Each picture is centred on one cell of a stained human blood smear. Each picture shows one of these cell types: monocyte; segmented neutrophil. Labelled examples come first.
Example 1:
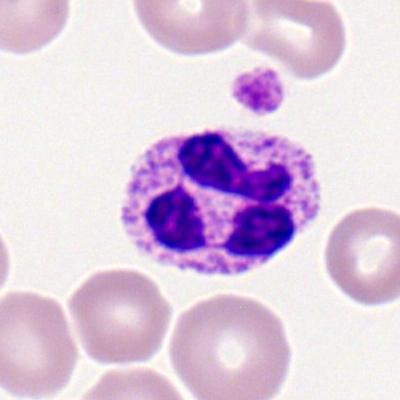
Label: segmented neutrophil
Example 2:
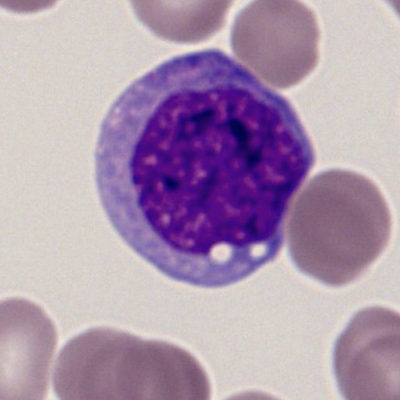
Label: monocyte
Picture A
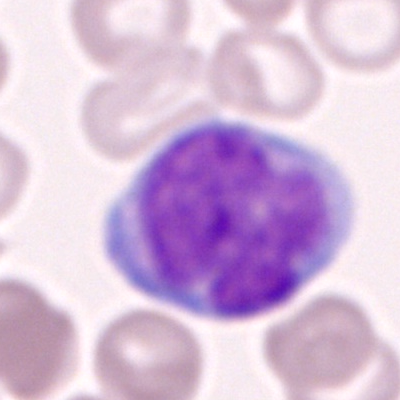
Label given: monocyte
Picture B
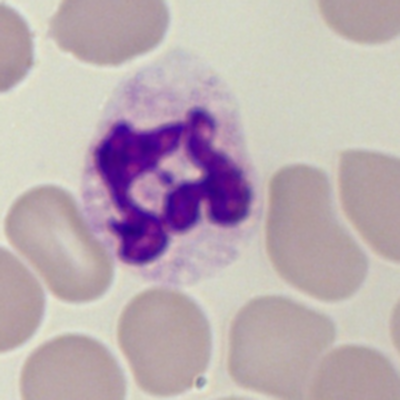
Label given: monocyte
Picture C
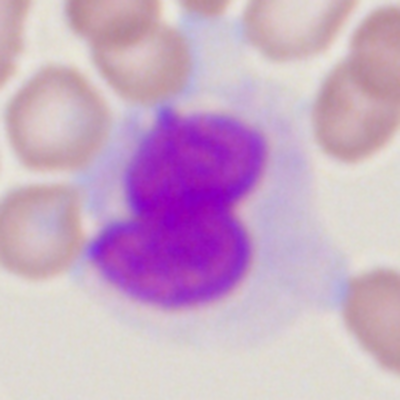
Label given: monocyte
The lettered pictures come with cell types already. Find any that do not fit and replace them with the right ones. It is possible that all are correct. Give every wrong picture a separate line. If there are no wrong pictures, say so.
Wrong: B (monocyte); correct: segmented neutrophil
